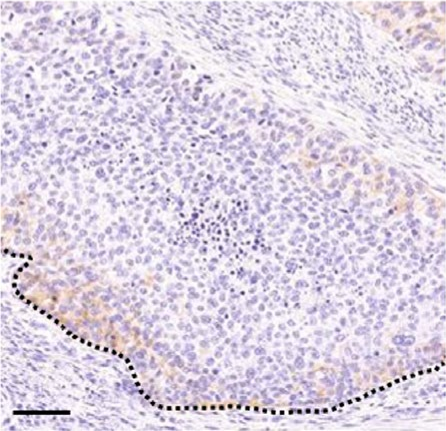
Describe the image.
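A large, solid sheet of tumor cells with crowded round to oval nuclei is bordered by looser stroma containing spindle-shaped cells. Faint brown staining is confined mostly to the tumor cells along the edge of the sheet that faces the stroma. The interior of the sheet is largely unstained, with a small focus of denser, darker nuclei near its middle.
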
